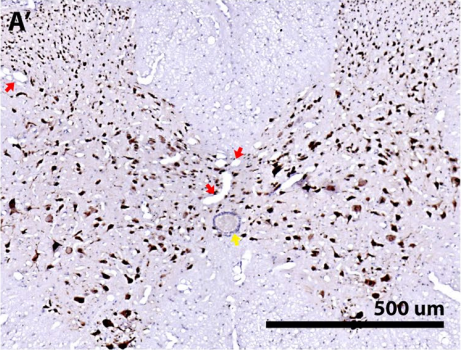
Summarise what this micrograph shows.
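This is a transverse section through the central grey matter, where many brown-stained neuronal cell bodies stand out against a pale blue-grey background. The brown cells are densest in two symmetric wings on either side of the midline, and the larger ones in the lower parts have angular bodies. A small ring-shaped central canal with a faint bluish lining lies at the midline. White slits and round holes scattered among the cells are cut vessels. The region above the canal between the two wings is pale and nearly free of brown cells.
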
